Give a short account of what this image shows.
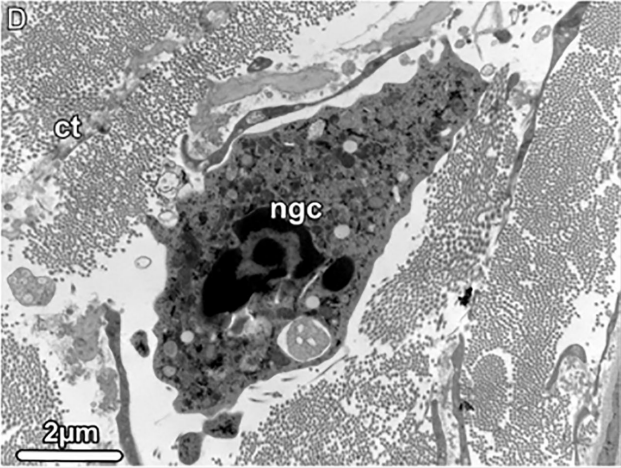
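A neutrophil granulocyte sits within dense connective tissue, squeezed between bundles of collagen fibrils. The cell has an irregular, elongated outline with short projections. Its nucleus is dark and lobed, and the cytoplasm is packed with small dense granules and scattered vesicles, including a larger membrane-bound vacuole beside the nucleus. The surrounding collagen appears as fields of tiny uniform dots where the fibrils are cut across, arranged in bundles separated by thin elongated fibroblast processes.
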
